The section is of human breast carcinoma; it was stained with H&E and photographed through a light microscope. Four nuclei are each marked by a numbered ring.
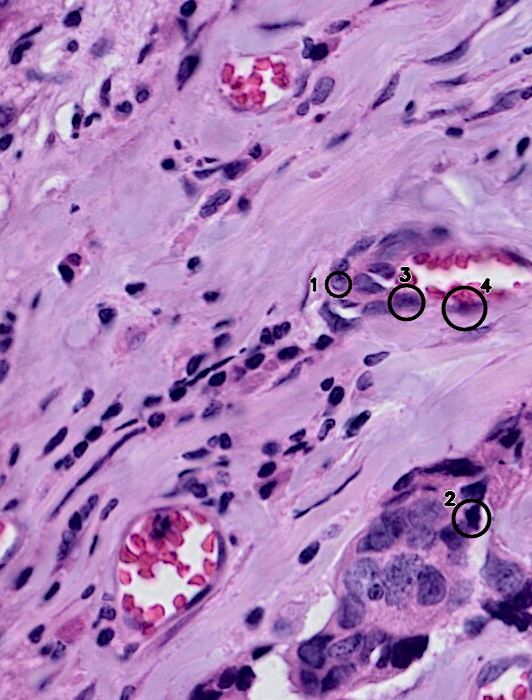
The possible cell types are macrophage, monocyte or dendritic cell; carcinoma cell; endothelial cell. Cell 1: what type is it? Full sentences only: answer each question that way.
Cell 1, among those numbered, is an endothelial cell.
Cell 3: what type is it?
The nucleus labelled 3 belongs to an endothelial cell.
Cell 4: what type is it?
The one labeled 4 is an endothelial cell, to put it simply.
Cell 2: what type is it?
The numeral 2 marks a carcinoma cell in this section.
